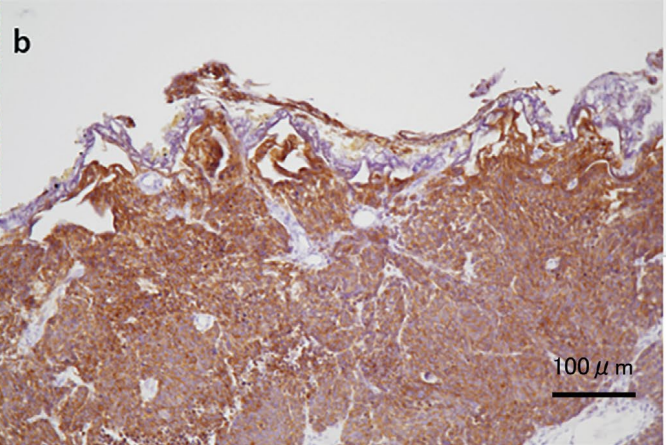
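Tumor tissue in which a solid sheet of densely packed cells is stained deep brown nearly throughout. The brown color fills the cytoplasm of the cells in a diffuse pattern. Thin strands of pale blue stroma and small vessels cross the sheet unstained. Along the top edge a thin layer of loose, pale tissue covers the stained tumor.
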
